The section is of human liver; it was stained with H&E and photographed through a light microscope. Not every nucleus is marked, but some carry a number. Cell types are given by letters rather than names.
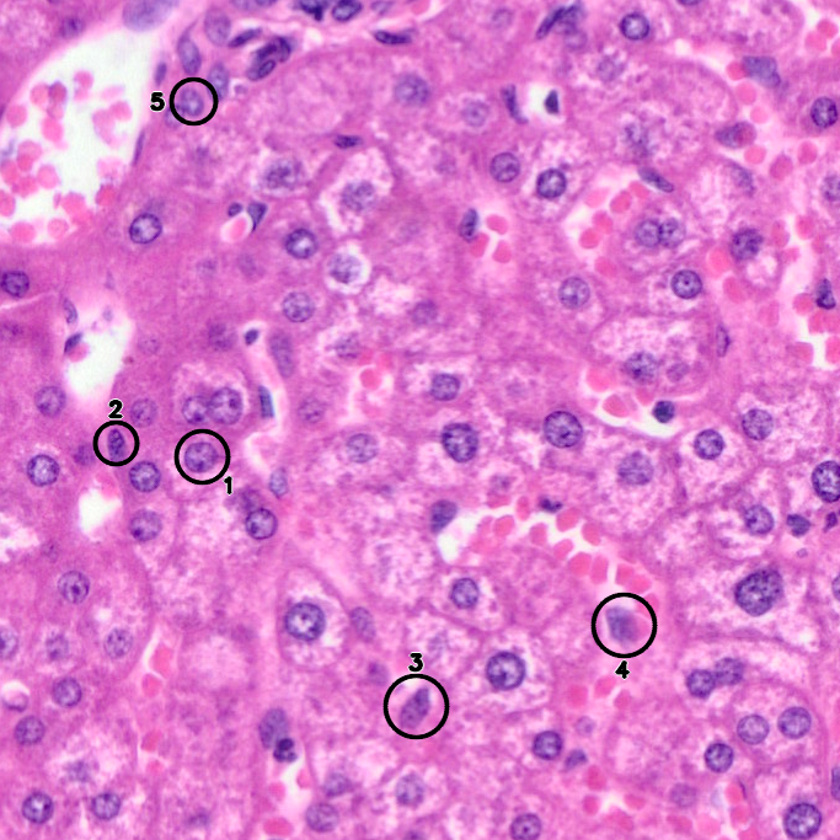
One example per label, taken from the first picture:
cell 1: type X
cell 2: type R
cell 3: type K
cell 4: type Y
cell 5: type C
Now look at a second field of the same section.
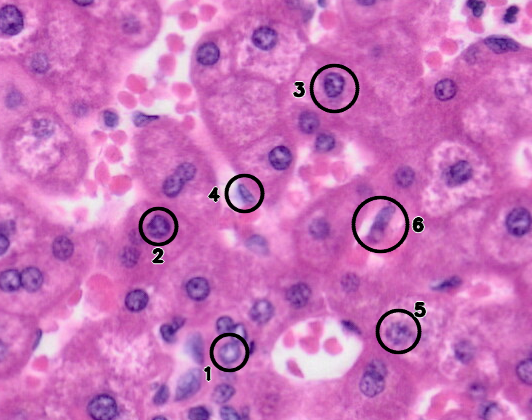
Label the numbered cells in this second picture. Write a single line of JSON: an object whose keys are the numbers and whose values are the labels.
{"1": "type C", "2": "type X", "3": "type X", "4": "type Y", "5": "type X", "6": "type K"}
